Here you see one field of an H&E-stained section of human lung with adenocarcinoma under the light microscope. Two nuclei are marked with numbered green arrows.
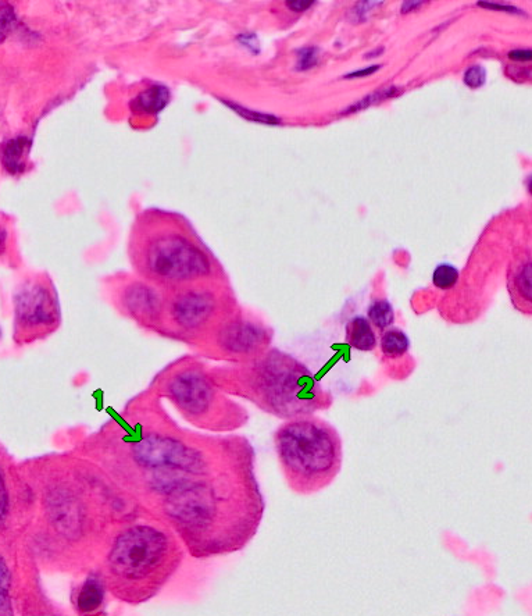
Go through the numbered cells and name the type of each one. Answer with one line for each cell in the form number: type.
1: carcinoma cell
2: lymphocyte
